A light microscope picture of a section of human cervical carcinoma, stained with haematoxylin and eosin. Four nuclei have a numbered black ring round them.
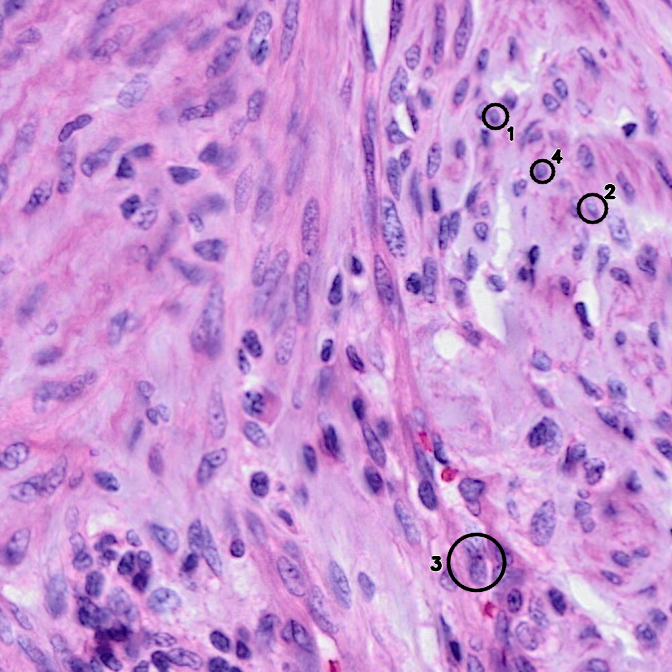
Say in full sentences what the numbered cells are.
Cell 1 is a smooth muscle cell, cell 2 is a smooth muscle cell, cell 3 is an endothelial cell and cell 4 is a smooth muscle cell.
